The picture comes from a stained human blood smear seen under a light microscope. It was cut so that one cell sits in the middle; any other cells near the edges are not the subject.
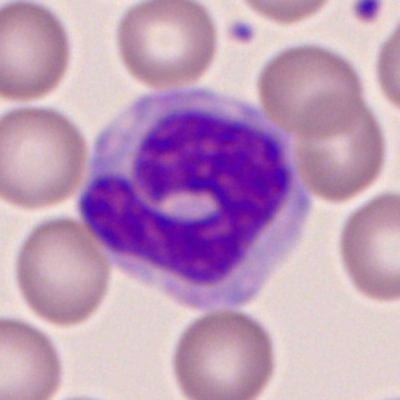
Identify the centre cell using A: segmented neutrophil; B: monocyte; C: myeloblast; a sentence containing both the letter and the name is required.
The cell in the center of this crop is a monocyte, so option B is the one to pick.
